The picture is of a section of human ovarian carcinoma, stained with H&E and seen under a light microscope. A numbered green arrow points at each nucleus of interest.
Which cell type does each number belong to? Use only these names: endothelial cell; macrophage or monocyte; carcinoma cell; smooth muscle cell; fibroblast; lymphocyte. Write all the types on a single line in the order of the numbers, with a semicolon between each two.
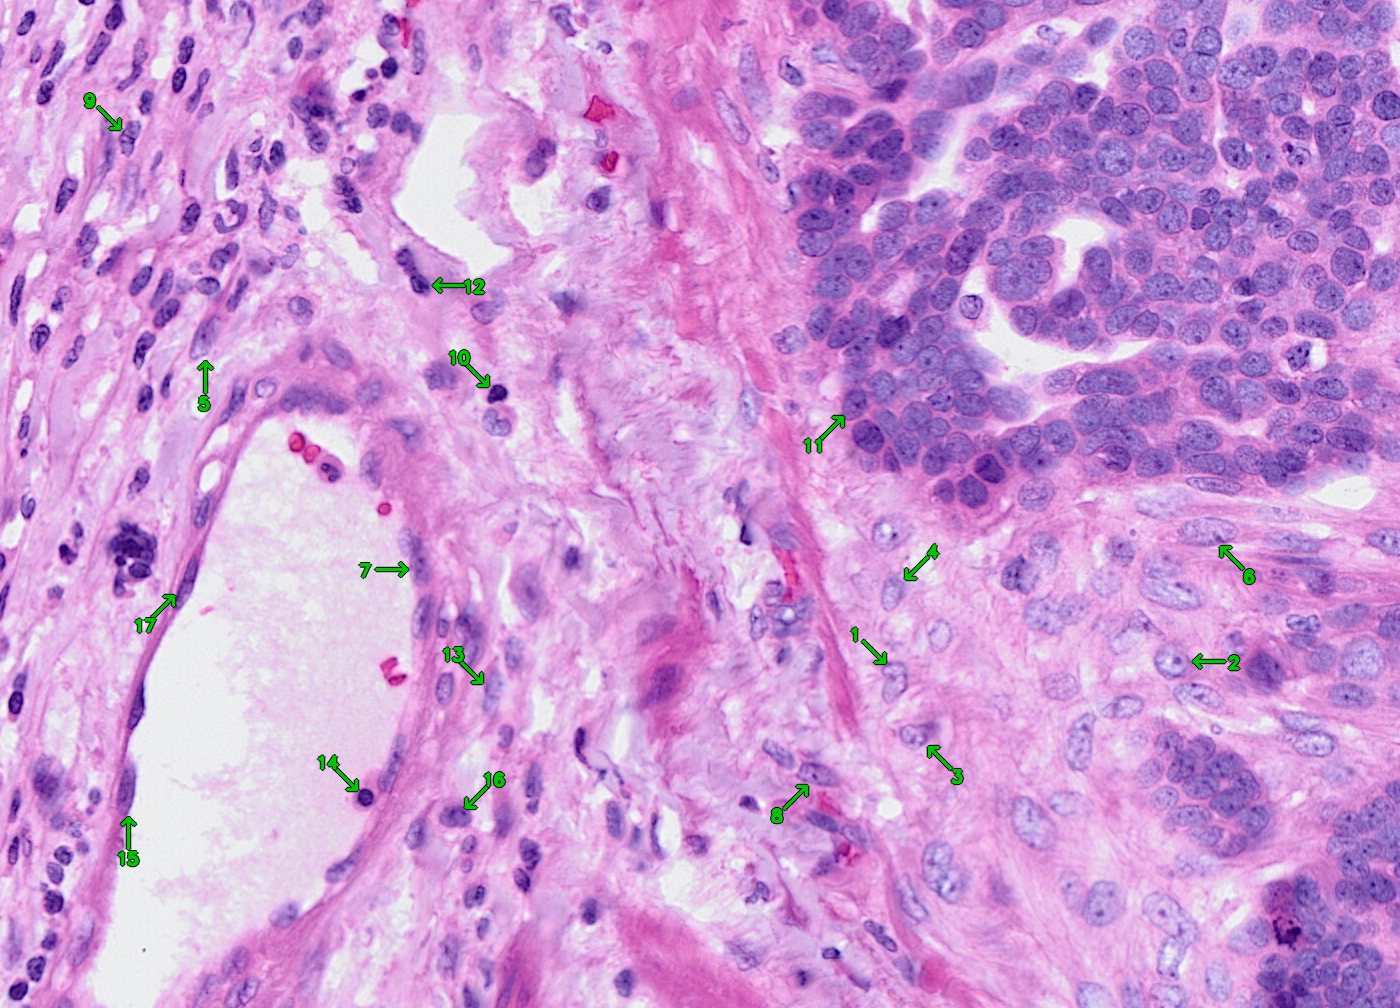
fibroblast; fibroblast; fibroblast; fibroblast; fibroblast; fibroblast; endothelial cell; endothelial cell; macrophage or monocyte; lymphocyte; carcinoma cell; lymphocyte; fibroblast; lymphocyte; endothelial cell; macrophage or monocyte; endothelial cell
